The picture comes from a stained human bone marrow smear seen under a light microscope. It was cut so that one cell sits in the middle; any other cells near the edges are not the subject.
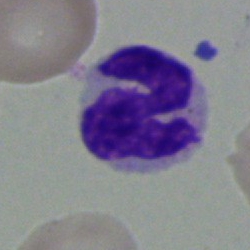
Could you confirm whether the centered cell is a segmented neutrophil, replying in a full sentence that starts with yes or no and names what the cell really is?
Yes, the central cell here is a segmented neutrophil.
